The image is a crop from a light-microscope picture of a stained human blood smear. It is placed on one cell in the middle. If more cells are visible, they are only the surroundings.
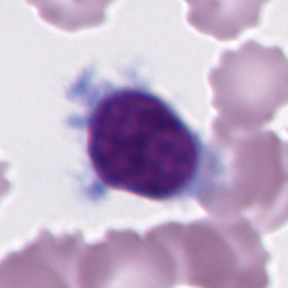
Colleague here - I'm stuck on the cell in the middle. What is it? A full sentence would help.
The central cell in this smear crop is a hairy cell.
